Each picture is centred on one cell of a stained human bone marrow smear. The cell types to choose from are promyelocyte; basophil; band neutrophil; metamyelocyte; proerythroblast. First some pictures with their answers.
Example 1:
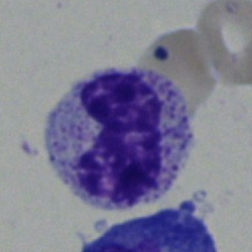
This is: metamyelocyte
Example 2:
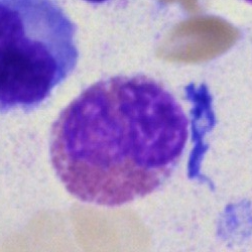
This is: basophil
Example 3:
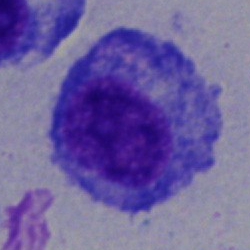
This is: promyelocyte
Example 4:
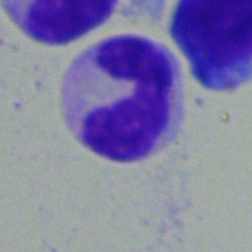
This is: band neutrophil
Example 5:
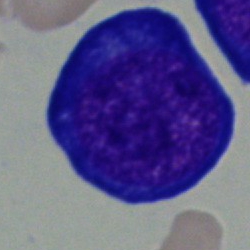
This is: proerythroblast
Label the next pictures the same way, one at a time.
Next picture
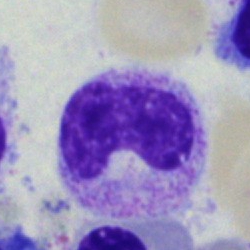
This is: metamyelocyte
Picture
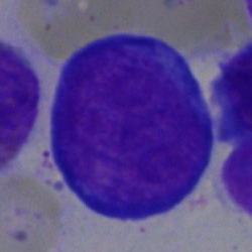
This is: proerythroblast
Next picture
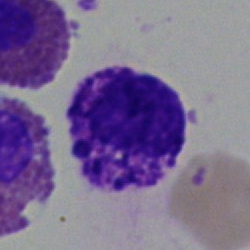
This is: basophil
